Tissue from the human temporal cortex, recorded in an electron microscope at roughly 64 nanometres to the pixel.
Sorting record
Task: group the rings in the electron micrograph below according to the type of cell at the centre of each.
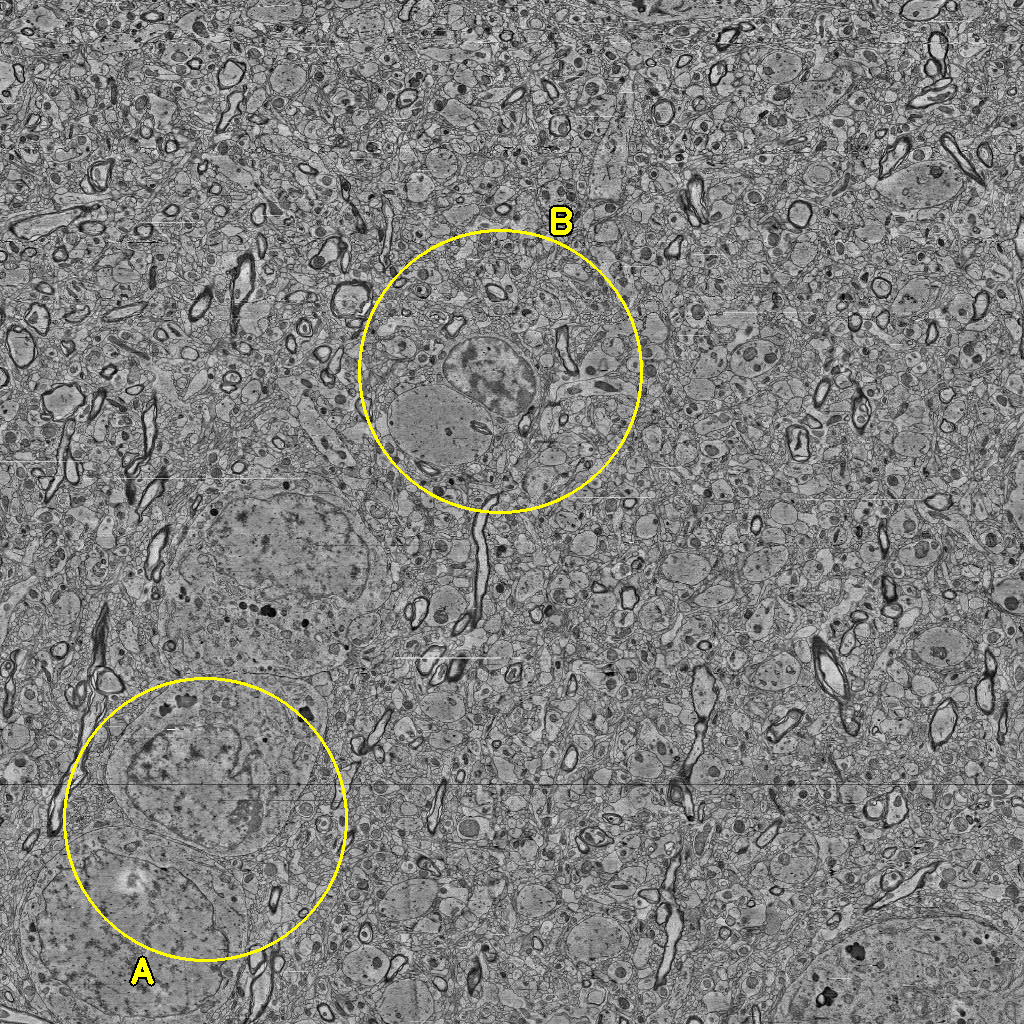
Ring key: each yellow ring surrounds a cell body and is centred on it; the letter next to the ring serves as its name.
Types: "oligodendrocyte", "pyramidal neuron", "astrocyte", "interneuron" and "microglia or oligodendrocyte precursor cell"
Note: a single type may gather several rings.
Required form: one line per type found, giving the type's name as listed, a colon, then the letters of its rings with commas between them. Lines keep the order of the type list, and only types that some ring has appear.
oligodendrocyte: B
interneuron: A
